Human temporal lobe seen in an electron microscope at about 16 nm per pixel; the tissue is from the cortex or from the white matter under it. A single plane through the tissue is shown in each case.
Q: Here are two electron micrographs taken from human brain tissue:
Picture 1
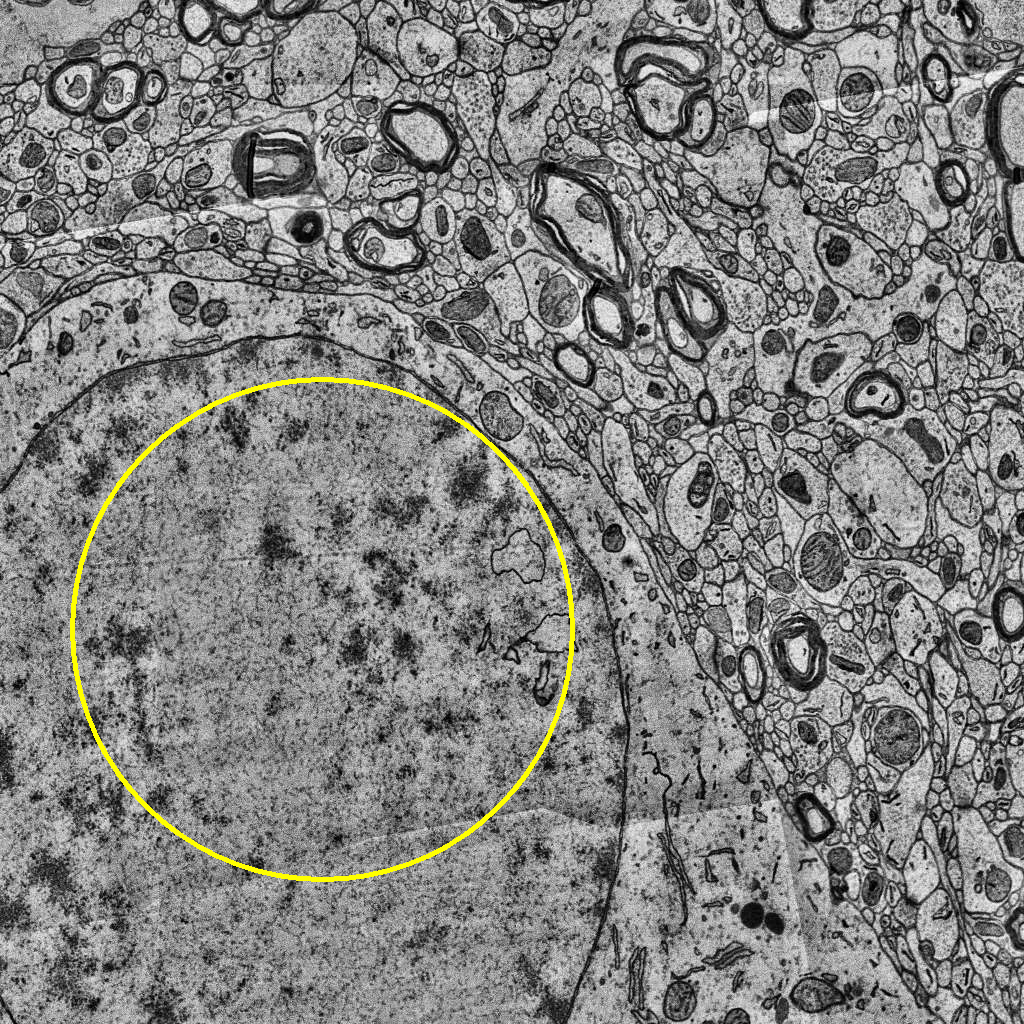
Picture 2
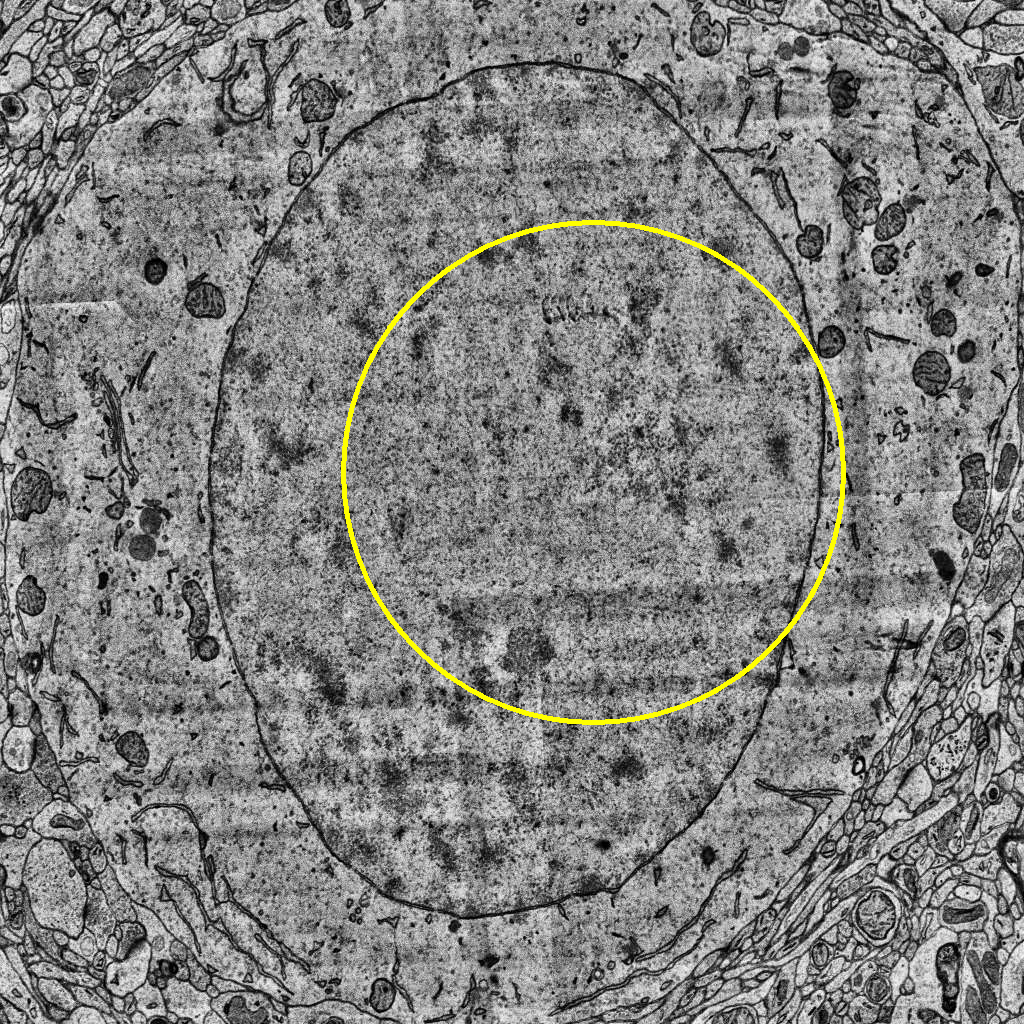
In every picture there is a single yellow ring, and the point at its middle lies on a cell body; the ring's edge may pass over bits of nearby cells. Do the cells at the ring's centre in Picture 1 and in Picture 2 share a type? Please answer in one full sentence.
Yes, the cells at the ring's centre in Picture 1 and Picture 2 share a type.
